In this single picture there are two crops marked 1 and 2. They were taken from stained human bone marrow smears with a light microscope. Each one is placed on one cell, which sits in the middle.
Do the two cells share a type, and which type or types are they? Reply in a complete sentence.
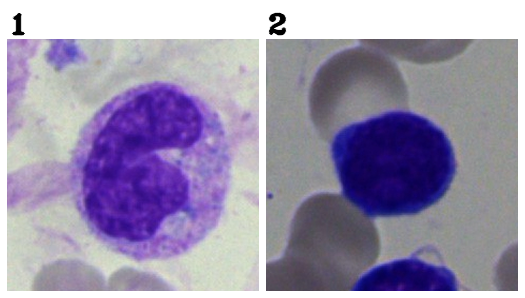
No, crop 1 is of a monocyte, and crop 2 is of a lymphocyte.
